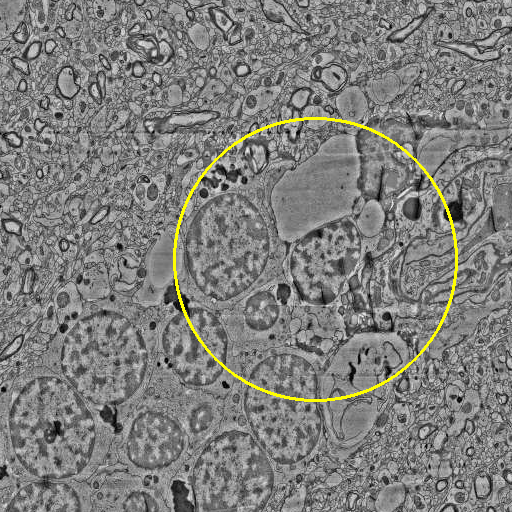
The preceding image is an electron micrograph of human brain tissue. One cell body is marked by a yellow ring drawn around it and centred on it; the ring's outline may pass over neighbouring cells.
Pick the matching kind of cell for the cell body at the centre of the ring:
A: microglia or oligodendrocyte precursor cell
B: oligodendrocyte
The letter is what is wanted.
A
